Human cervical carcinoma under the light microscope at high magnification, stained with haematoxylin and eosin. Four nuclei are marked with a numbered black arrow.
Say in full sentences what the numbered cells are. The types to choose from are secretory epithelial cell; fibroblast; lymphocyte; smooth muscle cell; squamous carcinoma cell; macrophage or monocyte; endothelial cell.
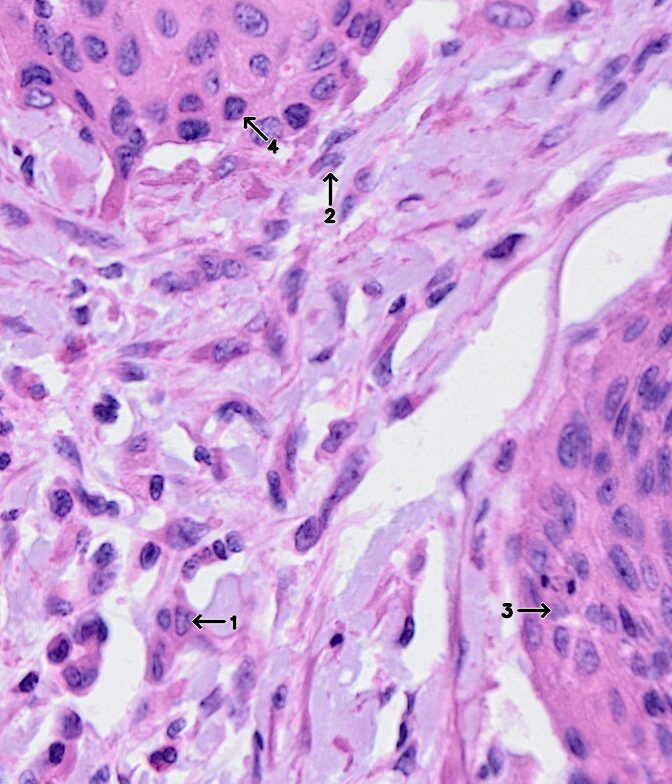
Cell 1 is an endothelial cell. Cell 2 is a fibroblast. Cells 3 and 4 are squamous carcinoma cells.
